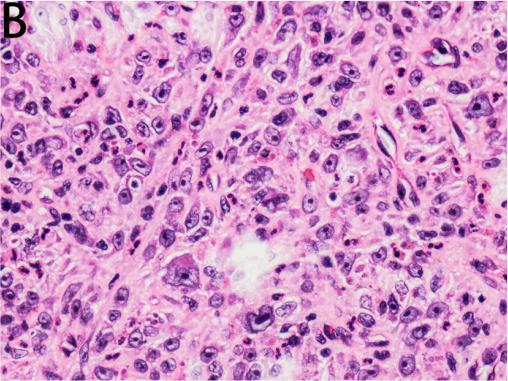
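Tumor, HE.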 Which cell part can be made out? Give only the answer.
nucleolus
